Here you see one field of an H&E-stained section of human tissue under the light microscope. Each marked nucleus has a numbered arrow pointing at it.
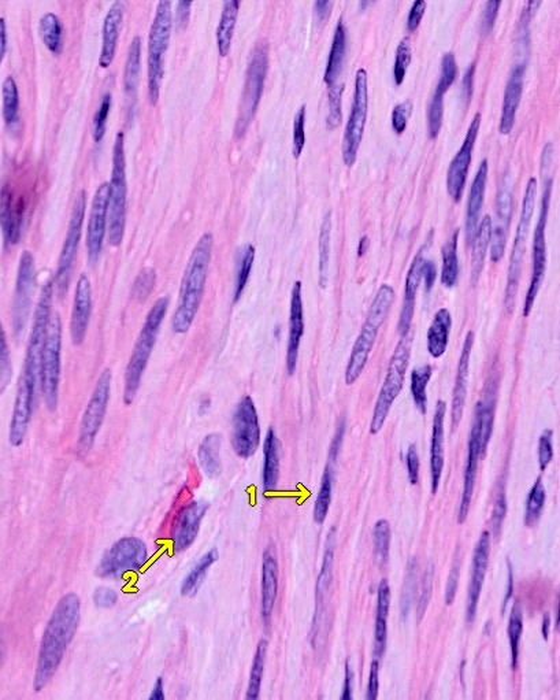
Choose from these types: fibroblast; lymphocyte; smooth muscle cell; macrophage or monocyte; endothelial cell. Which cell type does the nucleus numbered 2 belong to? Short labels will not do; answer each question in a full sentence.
In the marked set, the cell given number 2 is an endothelial cell.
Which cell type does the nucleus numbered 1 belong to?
The marked nucleus 1 is that of a smooth muscle cell.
